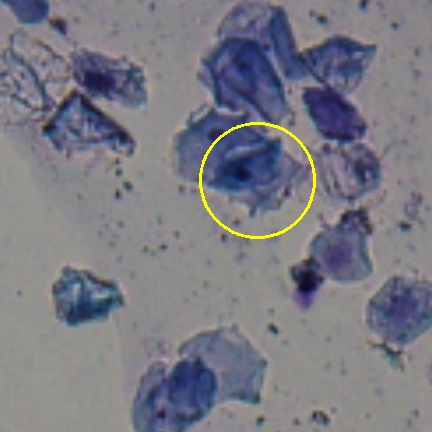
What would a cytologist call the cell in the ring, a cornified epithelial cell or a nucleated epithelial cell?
A cytologist would call it a nucleated epithelial cell.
